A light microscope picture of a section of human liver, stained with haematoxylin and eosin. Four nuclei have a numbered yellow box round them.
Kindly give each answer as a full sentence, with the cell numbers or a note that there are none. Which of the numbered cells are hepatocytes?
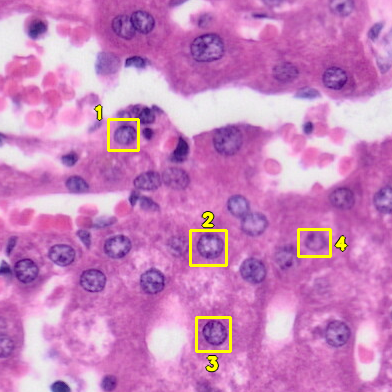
The cells numbered 2, 3 and 4 are typed as hepatocytes.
